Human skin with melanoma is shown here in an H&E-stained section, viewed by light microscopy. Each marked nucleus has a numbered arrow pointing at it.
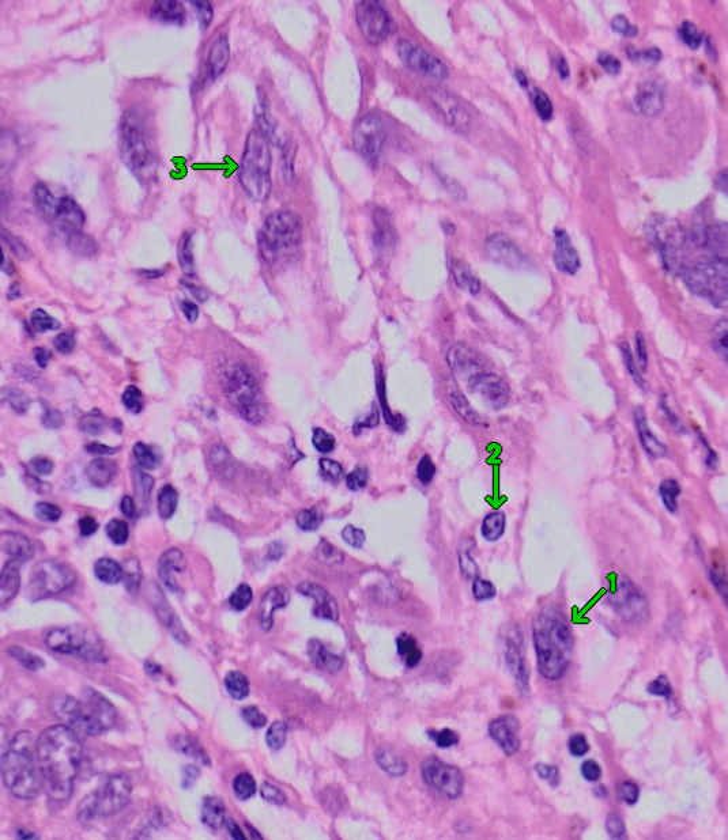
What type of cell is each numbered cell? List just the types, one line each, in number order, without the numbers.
melanoma cell
lymphocyte
melanoma cell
